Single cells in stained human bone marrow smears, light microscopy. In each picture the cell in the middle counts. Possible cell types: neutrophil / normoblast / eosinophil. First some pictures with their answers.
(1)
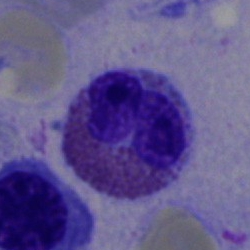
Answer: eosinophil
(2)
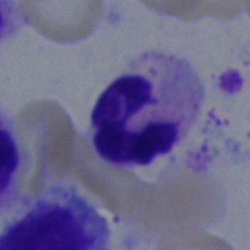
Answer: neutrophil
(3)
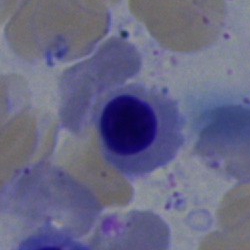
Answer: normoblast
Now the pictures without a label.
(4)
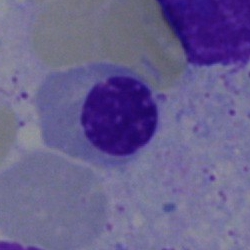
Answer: normoblast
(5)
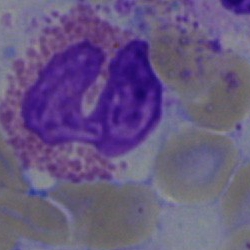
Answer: eosinophil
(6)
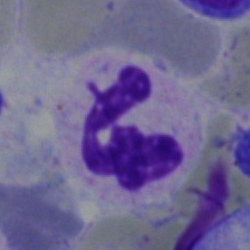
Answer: neutrophil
